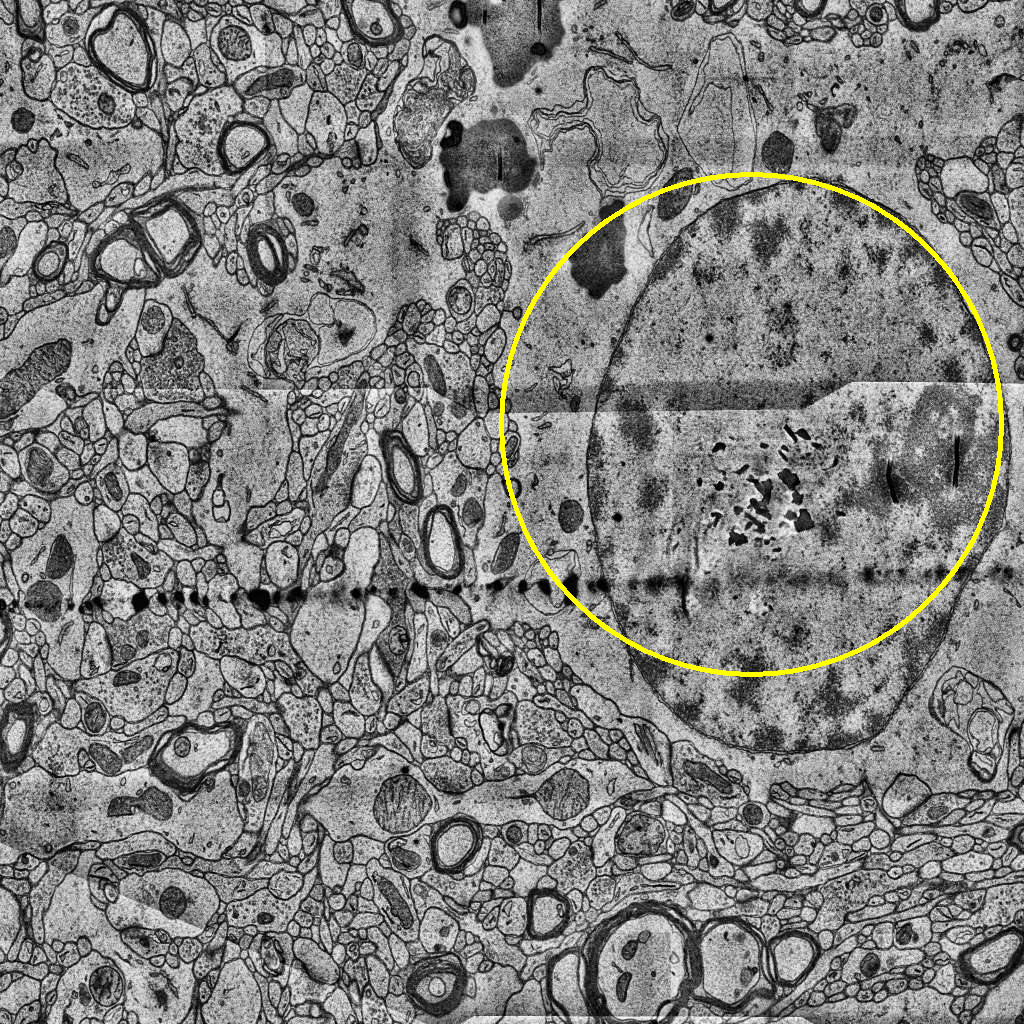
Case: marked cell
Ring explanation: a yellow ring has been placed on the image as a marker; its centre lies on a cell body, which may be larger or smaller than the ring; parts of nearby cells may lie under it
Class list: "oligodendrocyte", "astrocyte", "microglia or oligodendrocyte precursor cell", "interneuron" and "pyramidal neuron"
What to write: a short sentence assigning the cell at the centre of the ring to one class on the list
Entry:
The cell at the ring's centre is an astrocyte.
